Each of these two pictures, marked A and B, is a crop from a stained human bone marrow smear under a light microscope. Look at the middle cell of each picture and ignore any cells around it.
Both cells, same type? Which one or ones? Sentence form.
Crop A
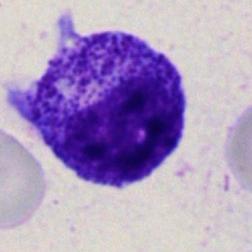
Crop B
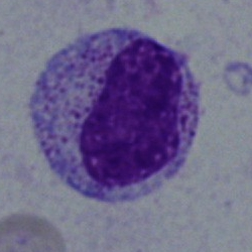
No, crop A presents a myelocyte; crop B presents a metamyelocyte.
